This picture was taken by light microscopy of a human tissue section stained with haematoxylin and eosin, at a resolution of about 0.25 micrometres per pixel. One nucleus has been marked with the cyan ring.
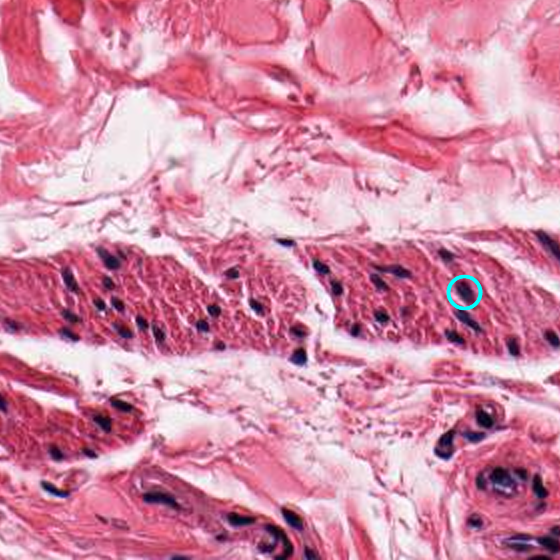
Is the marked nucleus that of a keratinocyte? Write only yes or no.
no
